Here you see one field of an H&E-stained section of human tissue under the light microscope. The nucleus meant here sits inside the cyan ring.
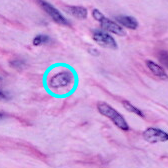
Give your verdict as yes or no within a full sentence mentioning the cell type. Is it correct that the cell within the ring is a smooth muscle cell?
Yes, the naming of the cell within the ring as a smooth muscle cell is correct.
